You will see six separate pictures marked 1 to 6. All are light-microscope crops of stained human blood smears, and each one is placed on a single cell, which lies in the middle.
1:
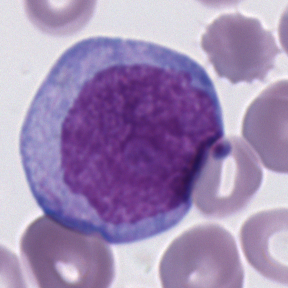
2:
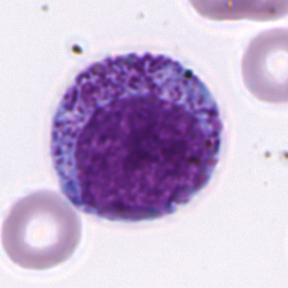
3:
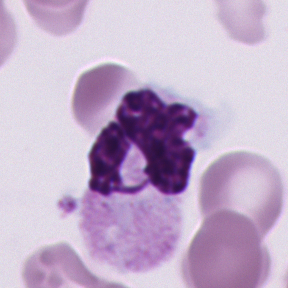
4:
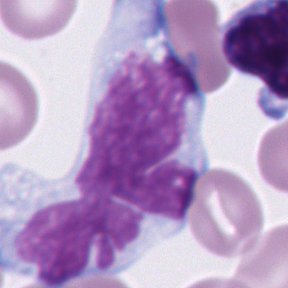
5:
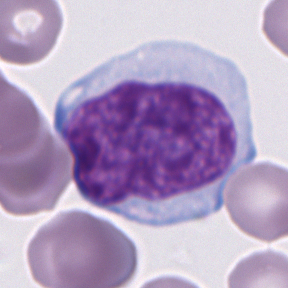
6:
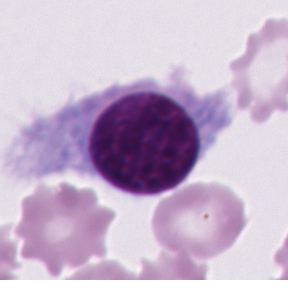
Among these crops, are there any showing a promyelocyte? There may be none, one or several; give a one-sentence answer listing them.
Crops 1 and 2 show promyelocytes as their middle cells.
